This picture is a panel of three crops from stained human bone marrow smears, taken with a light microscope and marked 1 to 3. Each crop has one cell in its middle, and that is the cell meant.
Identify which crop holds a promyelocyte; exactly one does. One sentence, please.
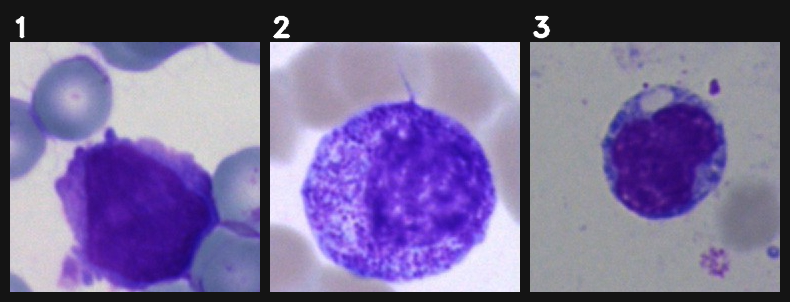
Of the labelled crops, the one that shows a promyelocyte is crop 2.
